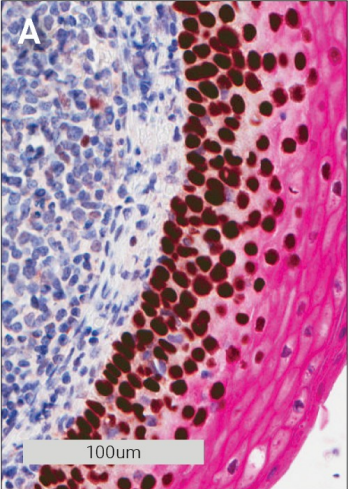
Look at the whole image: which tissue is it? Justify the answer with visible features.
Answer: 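A stratified epithelium with flattened superficial cells runs along one side. Dense sheets of small round blue-counterstained lymphoid cells lie beneath the epithelium. So: tonsil tissue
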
